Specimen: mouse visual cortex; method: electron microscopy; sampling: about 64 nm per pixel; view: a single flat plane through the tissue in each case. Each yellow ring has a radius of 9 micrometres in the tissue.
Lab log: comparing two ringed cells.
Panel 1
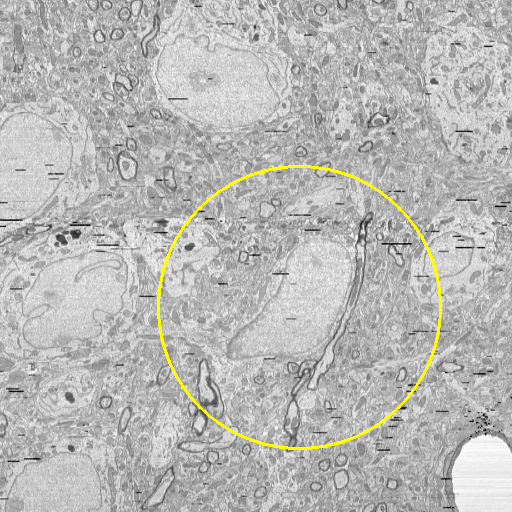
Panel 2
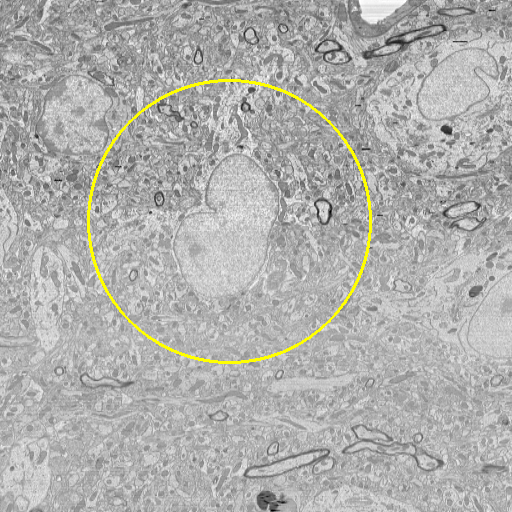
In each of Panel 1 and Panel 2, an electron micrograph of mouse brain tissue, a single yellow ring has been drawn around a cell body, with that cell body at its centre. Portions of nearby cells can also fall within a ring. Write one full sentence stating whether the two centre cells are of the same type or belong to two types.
The cells at the ring centres in Panel 1 and Panel 2 are of the same type.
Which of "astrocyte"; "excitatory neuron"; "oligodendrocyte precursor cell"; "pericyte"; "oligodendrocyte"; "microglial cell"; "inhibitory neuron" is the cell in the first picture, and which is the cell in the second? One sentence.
The cell at the ring centre is an astrocyte in both pictures.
